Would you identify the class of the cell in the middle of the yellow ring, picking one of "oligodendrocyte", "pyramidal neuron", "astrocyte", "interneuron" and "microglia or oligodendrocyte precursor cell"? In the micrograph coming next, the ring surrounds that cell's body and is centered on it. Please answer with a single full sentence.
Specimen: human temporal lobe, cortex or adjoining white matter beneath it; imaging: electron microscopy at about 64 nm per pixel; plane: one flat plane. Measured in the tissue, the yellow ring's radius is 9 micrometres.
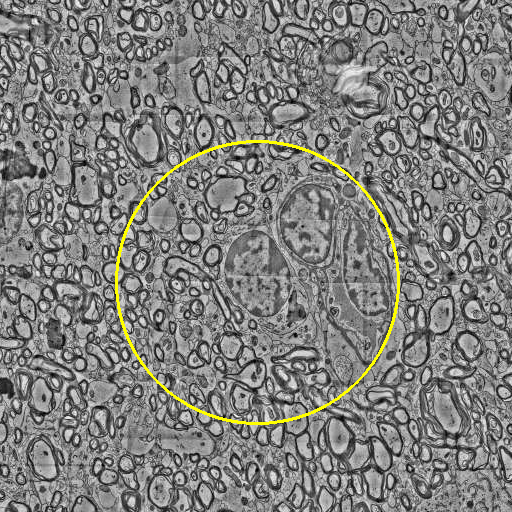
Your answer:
In the micrograph, it is a microglial cell or oligodendrocyte precursor cell whose body lies at the ring's center.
